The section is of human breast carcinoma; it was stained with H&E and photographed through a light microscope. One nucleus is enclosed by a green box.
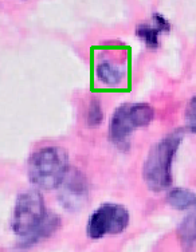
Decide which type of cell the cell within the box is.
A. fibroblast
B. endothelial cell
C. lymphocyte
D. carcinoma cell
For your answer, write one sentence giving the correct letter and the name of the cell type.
Of the options given, B is right: the cell within the box is an endothelial cell.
